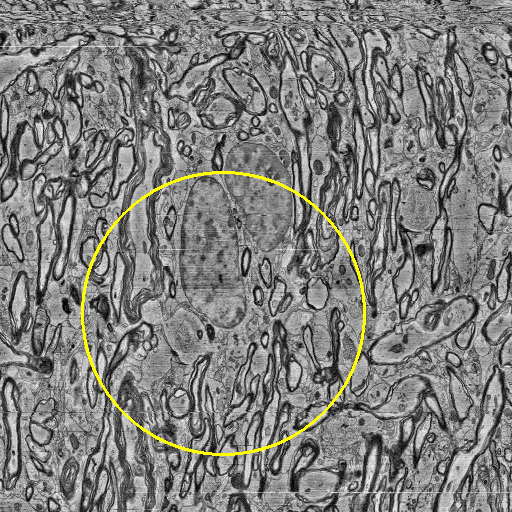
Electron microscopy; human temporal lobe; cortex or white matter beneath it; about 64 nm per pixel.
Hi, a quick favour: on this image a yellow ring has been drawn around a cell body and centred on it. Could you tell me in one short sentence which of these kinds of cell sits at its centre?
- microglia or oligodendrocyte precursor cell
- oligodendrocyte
The ring is centred on a microglial cell or oligodendrocyte precursor cell.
